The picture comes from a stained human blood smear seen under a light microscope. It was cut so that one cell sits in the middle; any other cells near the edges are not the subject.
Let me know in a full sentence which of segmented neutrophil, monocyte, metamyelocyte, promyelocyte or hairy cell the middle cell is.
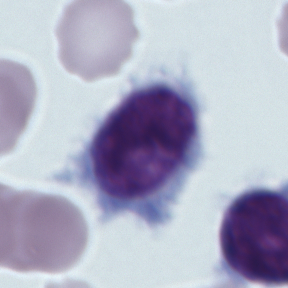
Among the cells in view, the one in the middle is a hairy cell.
